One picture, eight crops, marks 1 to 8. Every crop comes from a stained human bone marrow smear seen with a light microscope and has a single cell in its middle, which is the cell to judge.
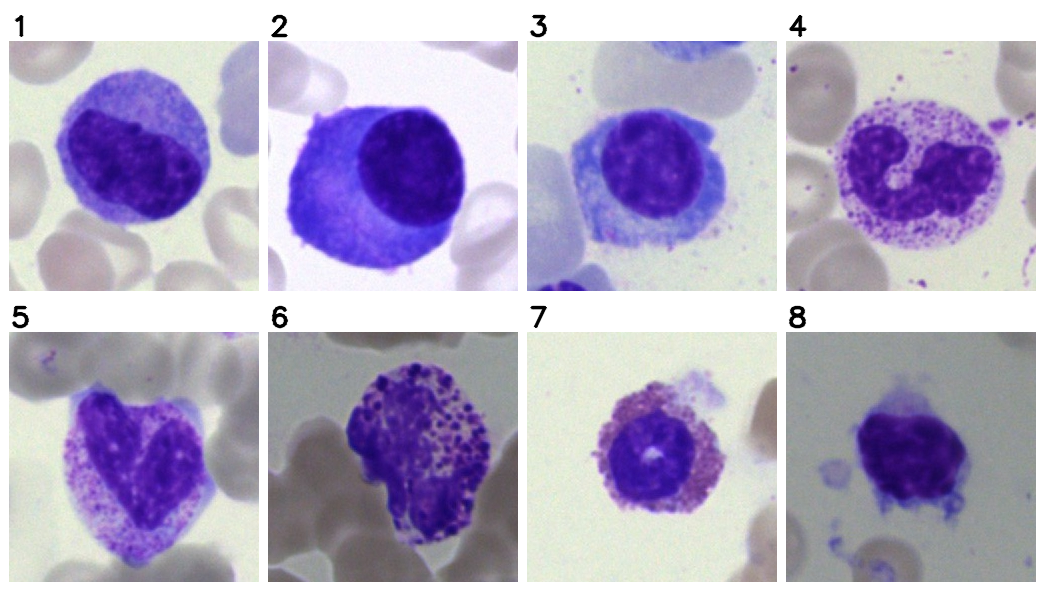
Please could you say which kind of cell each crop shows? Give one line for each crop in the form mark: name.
1: monocyte
2: plasma cell
3: plasma cell
4: segmented neutrophil
5: band neutrophil
6: basophil
7: eosinophil
8: hairy cell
